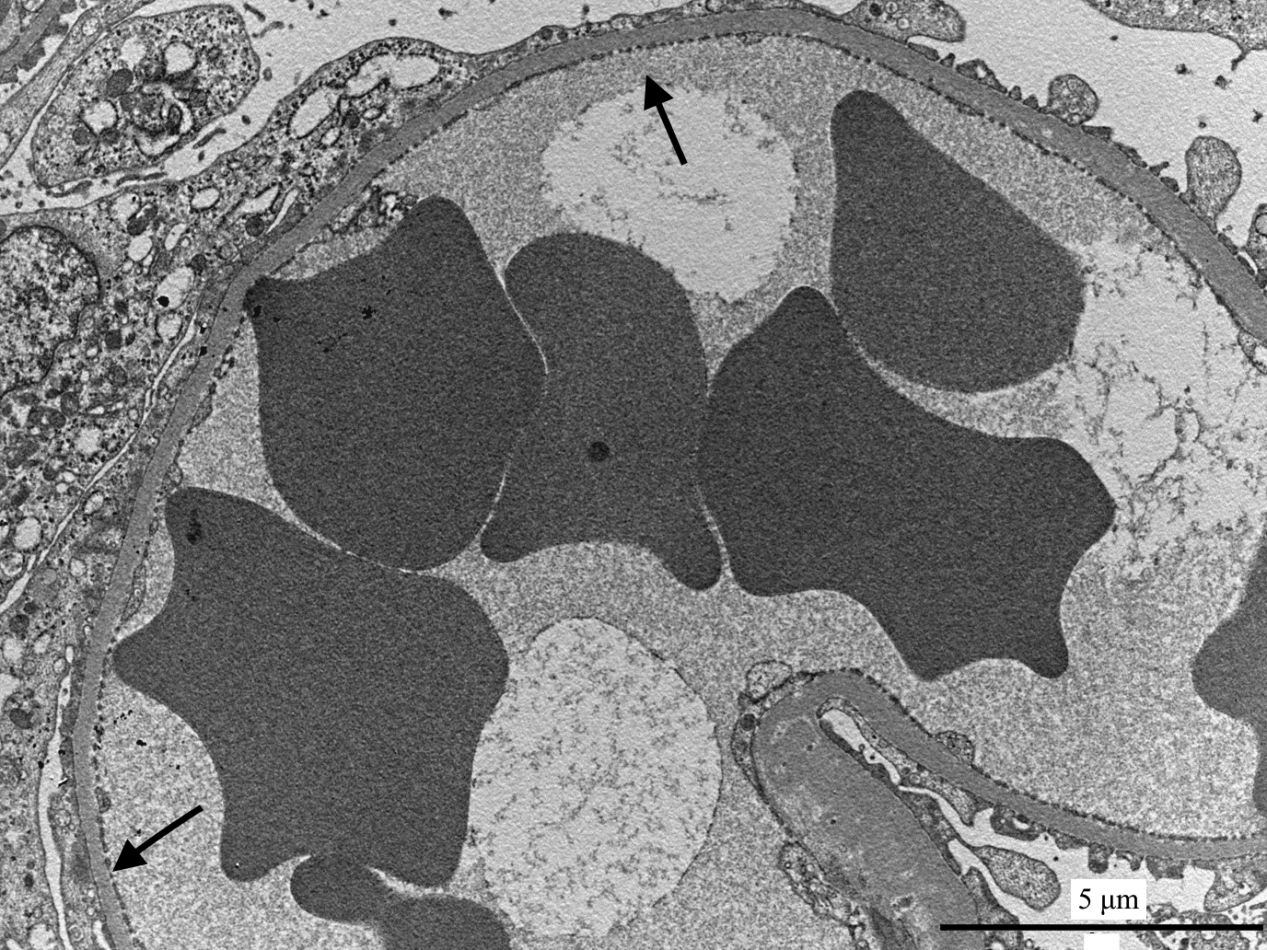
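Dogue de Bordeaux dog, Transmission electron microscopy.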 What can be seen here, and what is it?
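A glomerular capillary is cut in cross-section, with an open lumen holding several dark, irregularly shaped red blood cells in finely granular plasma. The wall is made of a thin endothelial lining on a smooth, even basement membrane, with podocyte cytoplasm on its outer side. Along parts of the wall the podocyte covering forms a continuous band instead of separate small foot processes, while elsewhere small processes are still distinct.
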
